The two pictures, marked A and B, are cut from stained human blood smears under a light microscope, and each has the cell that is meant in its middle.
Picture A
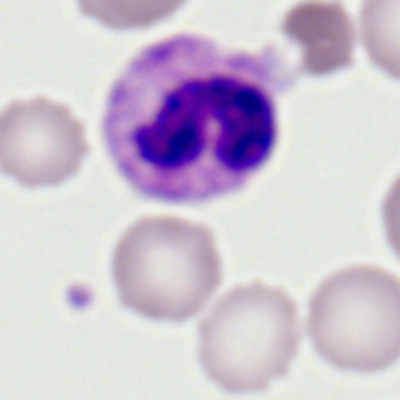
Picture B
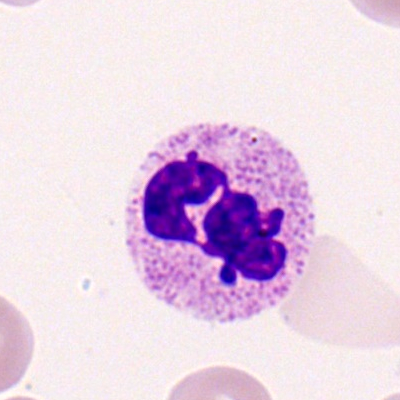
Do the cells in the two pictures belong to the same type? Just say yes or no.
yes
